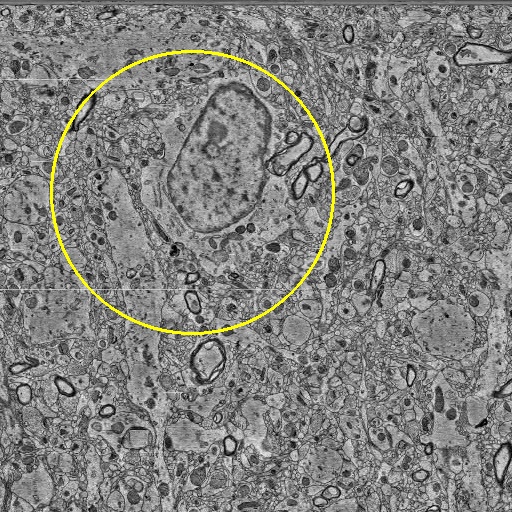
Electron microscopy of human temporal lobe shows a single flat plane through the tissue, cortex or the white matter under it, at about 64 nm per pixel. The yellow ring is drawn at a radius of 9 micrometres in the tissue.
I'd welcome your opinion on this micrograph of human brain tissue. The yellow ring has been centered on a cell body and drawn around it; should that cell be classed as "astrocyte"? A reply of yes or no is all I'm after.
no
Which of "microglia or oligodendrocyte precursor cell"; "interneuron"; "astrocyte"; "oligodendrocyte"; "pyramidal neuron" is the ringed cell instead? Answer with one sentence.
Instead, the ringed cell here is a microglial cell or oligodendrocyte precursor cell.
